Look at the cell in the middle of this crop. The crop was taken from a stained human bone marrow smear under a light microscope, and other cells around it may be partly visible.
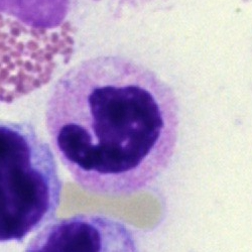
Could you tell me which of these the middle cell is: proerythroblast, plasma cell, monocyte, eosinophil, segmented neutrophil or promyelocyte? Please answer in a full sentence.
The cell centred in this crop is categorized as a segmented neutrophil.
